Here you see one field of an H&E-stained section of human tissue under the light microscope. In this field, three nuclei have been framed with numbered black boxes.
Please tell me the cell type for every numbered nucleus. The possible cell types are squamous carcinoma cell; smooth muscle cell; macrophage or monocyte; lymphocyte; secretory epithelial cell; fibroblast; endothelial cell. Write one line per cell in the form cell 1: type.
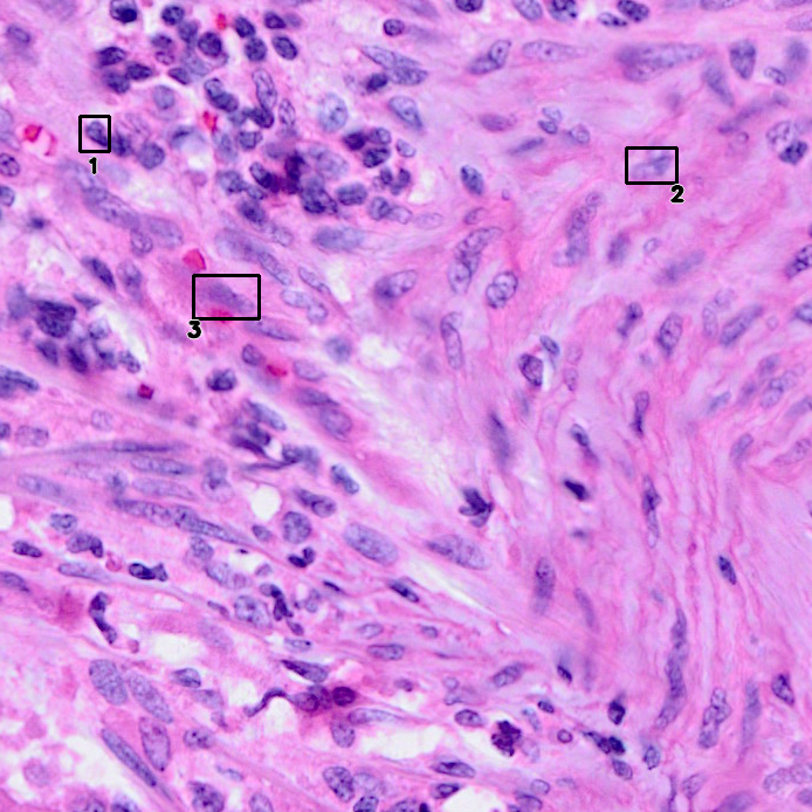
cell 1: lymphocyte
cell 2: smooth muscle cell
cell 3: endothelial cell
